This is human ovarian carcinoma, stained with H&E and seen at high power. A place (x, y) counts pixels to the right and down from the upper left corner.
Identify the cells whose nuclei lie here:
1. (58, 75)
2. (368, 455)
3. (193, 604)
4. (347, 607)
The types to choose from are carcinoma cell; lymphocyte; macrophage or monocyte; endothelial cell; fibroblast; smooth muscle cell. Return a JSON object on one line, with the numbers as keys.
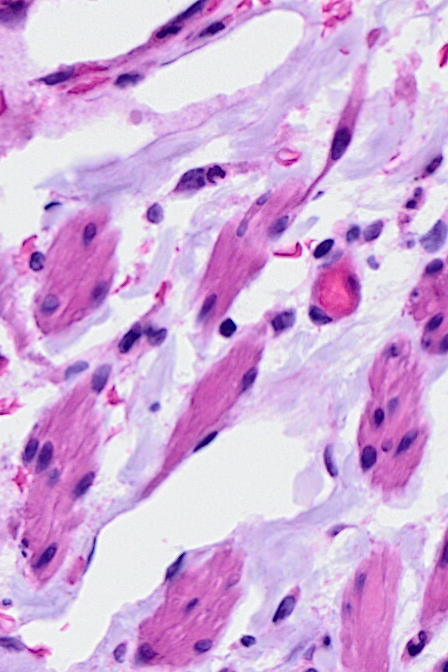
{"1": "endothelial cell", "2": "smooth muscle cell", "3": "smooth muscle cell", "4": "smooth muscle cell"}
